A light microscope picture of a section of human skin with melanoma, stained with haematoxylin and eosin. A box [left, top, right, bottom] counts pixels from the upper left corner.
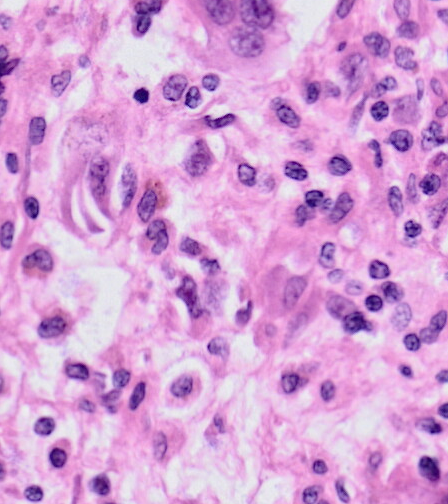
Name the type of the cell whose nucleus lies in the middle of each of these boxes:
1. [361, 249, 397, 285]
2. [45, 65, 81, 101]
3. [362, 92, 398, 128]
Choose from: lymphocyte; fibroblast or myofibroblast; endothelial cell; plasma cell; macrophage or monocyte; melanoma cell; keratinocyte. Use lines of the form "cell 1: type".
cell 1: lymphocyte
cell 2: macrophage or monocyte
cell 3: lymphocyte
